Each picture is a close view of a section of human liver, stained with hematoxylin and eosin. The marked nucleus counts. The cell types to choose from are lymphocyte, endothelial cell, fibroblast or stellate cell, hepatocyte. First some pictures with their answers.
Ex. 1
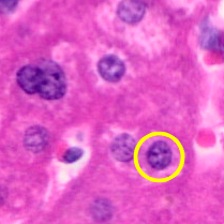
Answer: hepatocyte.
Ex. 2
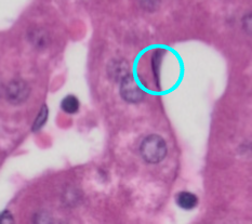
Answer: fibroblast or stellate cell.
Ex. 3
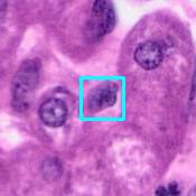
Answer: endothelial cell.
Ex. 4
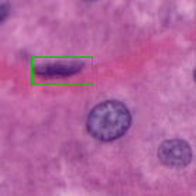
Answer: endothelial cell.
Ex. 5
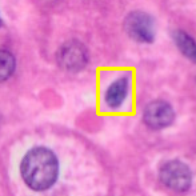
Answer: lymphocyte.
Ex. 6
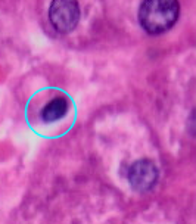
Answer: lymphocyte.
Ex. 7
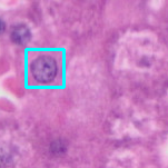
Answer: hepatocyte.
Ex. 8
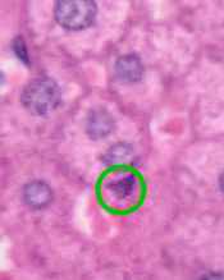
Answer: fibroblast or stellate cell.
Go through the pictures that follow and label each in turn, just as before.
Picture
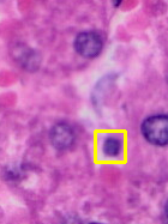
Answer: lymphocyte.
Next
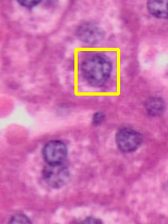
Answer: hepatocyte.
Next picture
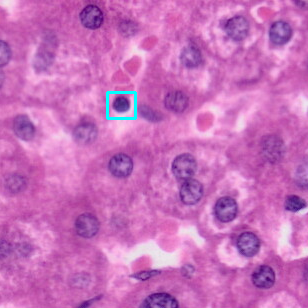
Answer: lymphocyte.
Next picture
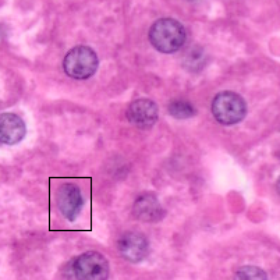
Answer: endothelial cell.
